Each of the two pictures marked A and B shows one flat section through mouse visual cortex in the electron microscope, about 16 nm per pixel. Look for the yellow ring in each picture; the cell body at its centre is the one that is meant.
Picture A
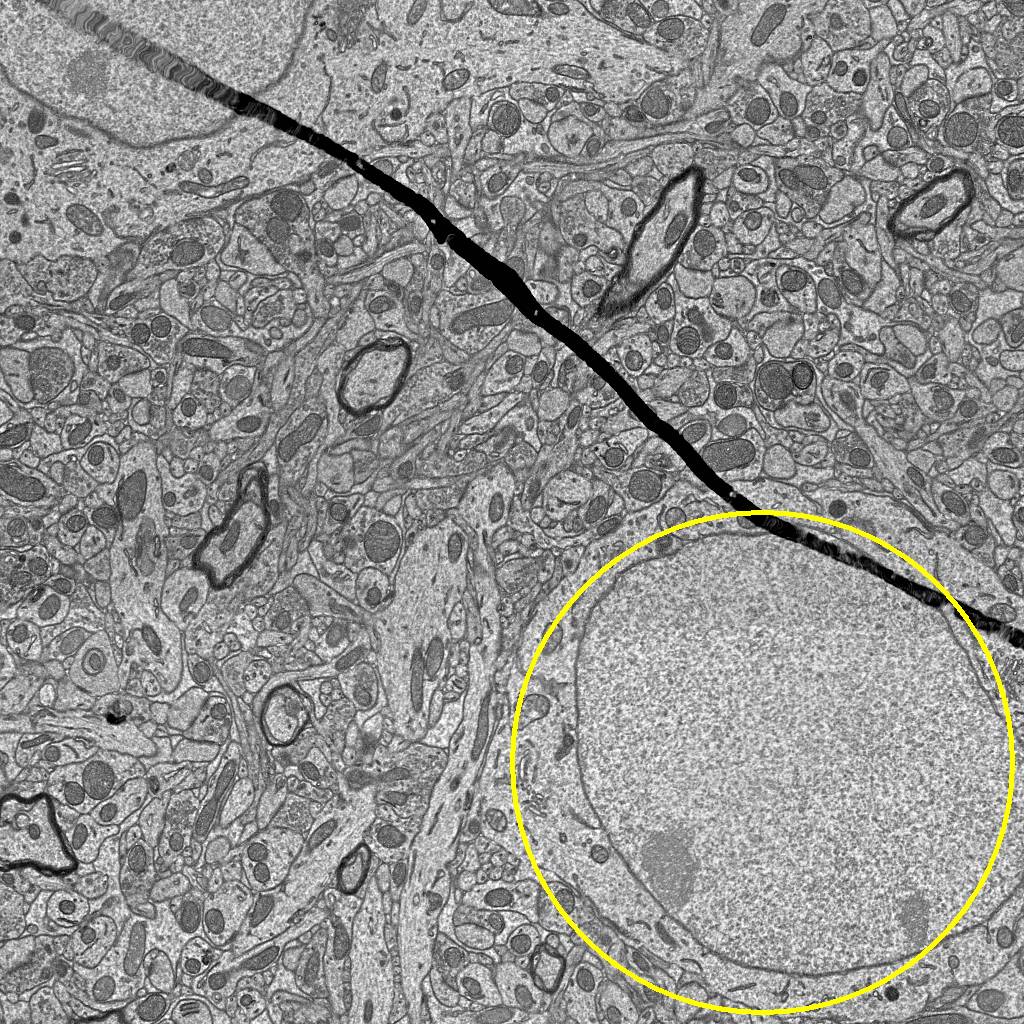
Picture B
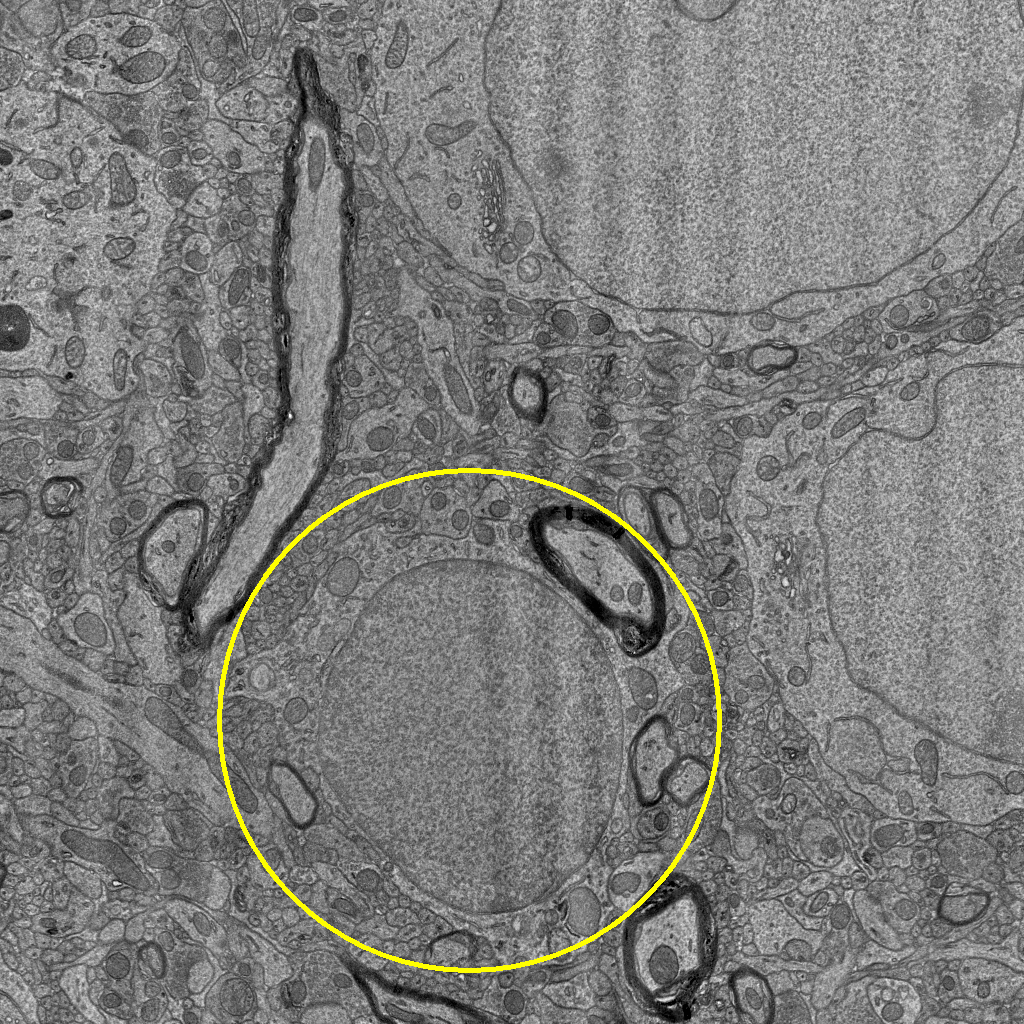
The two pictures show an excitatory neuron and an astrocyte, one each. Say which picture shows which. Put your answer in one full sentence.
Picture A shows an excitatory neuron and picture B shows an astrocyte.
